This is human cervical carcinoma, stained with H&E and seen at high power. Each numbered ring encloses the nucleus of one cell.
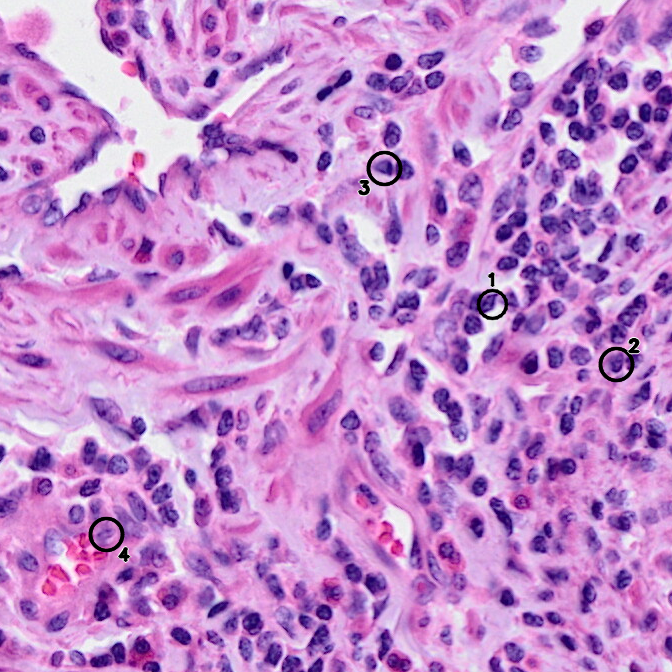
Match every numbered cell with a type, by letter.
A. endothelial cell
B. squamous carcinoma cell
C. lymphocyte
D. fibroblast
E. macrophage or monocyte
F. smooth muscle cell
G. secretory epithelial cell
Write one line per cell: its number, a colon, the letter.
1: C
2: C
3: C
4: A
